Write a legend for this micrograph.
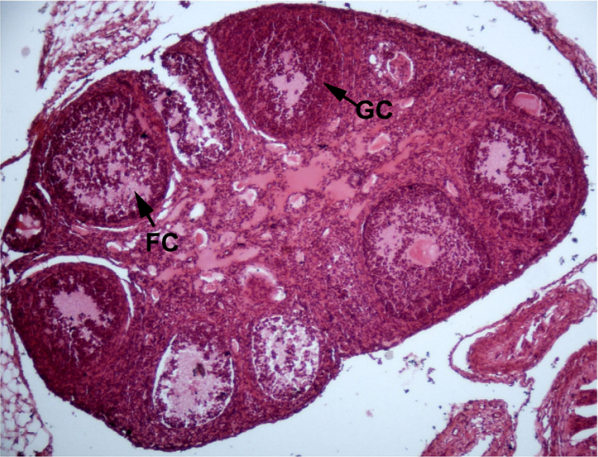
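This section of ovary is dominated by several large, rounded follicles whose centres are pale and cystic rather than solid. Each follicle is rimmed by a band of densely packed, darkly stained granulosa cells, while loose single cells lie scattered through the pale cavities. Between the follicles lies cellular stroma with many small blood vessels containing red blood cells, and pink fluid pools in the middle of the section. No solid, uniformly packed bodies without a cavity are seen among the follicles.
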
